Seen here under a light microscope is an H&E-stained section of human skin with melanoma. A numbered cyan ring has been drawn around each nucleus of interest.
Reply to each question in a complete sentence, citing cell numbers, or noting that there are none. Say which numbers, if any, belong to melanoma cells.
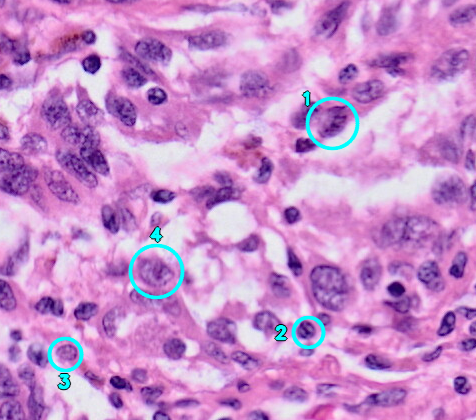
By cell type, the cells numbered 1 and 4 are melanoma cells.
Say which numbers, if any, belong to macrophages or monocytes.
The nucleus labelled 3 alone belongs to a macrophage or monocyte; the other marked nuclei do not.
